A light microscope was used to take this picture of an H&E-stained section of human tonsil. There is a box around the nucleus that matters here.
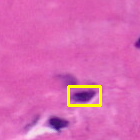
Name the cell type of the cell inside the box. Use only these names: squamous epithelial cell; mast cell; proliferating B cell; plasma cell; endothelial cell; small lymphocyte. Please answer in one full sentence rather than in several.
In cellular terms, the cell inside the box is a mast cell.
